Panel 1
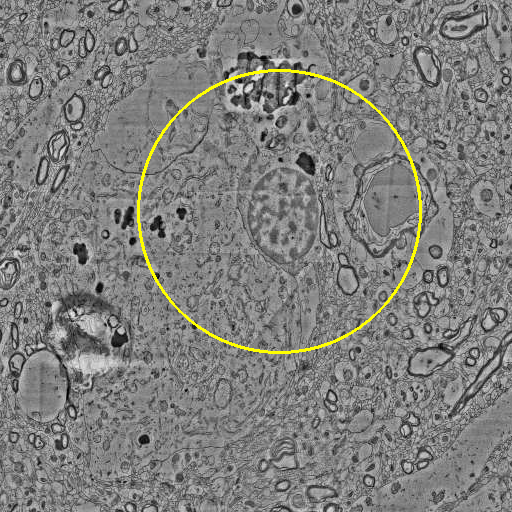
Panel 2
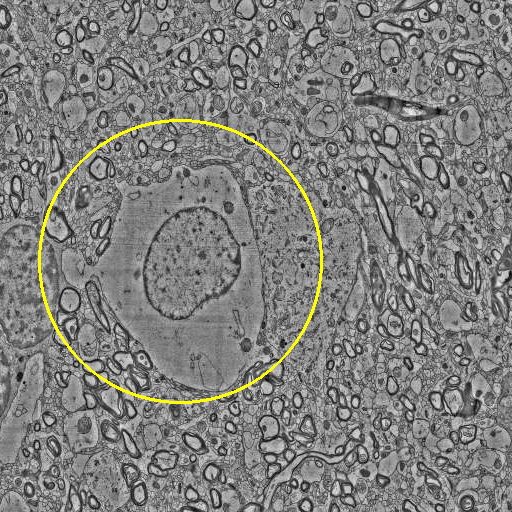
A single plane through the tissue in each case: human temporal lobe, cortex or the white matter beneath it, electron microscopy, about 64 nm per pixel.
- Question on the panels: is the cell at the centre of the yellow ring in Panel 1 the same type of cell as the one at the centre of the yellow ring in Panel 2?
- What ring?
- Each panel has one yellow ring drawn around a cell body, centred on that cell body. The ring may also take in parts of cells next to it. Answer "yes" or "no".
no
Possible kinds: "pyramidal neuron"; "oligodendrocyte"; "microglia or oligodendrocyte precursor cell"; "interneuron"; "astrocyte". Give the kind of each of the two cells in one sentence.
The cell in the second picture is an astrocyte, and that in the first is an oligodendrocyte.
